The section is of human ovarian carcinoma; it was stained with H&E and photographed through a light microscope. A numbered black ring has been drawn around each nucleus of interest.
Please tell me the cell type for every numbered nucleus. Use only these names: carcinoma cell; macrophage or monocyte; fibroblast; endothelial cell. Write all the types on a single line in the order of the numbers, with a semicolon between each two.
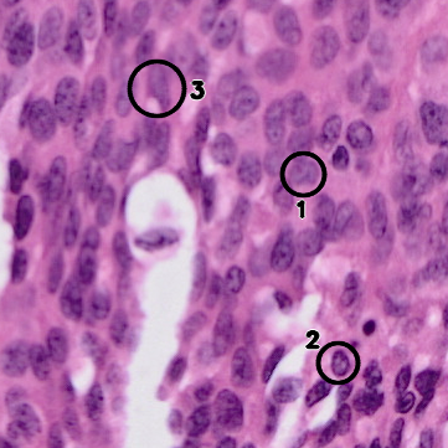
carcinoma cell; macrophage or monocyte; carcinoma cell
